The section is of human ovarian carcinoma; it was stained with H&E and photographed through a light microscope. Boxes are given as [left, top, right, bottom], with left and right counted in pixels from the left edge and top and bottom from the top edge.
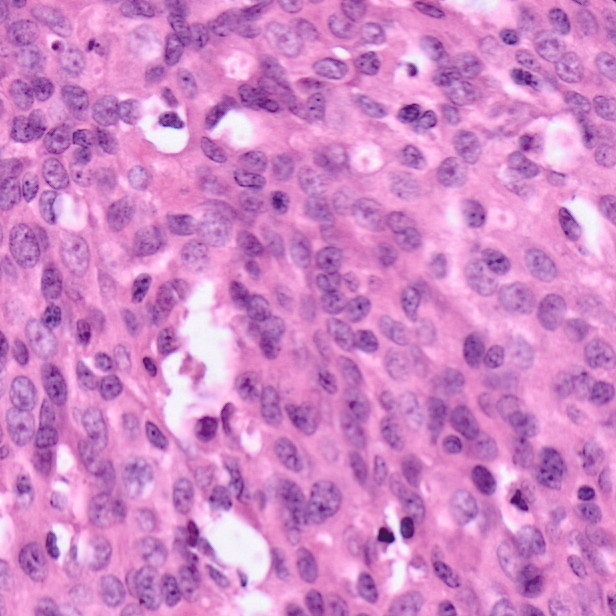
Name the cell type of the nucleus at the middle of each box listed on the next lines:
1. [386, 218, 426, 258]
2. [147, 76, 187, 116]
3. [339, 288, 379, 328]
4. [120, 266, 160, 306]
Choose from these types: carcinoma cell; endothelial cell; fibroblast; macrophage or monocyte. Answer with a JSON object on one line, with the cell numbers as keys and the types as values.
{"1": "carcinoma cell", "2": "macrophage or monocyte", "3": "macrophage or monocyte", "4": "macrophage or monocyte"}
